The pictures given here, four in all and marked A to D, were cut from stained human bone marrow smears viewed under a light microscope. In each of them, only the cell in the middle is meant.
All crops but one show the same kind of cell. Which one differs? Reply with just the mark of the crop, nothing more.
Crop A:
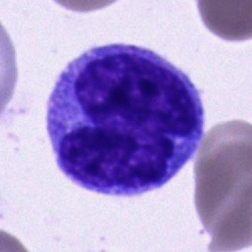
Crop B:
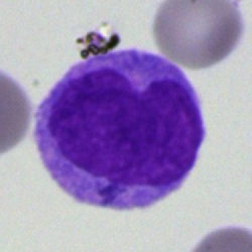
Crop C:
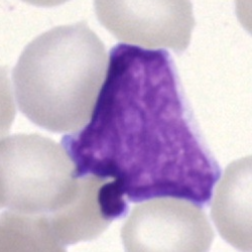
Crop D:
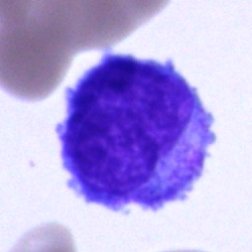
A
